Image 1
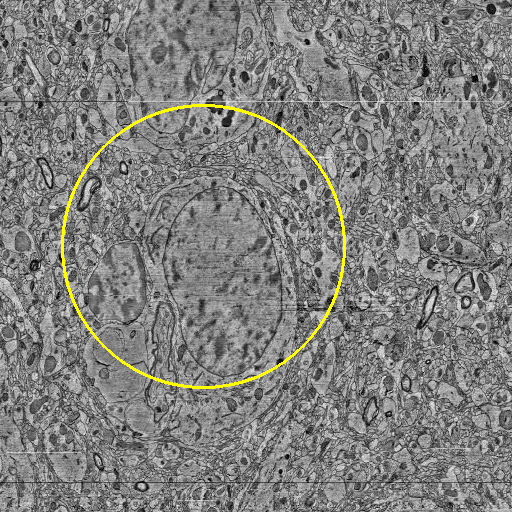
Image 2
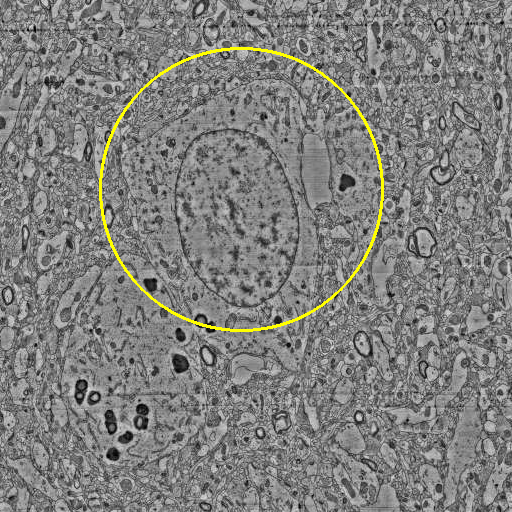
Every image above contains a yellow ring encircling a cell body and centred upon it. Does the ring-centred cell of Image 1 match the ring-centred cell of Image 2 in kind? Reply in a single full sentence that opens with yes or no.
Yes, the cell at the ring's centre in Image 1 is the same kind as that in Image 2.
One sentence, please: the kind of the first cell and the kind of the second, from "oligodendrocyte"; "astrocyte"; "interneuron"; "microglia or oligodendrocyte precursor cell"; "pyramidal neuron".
Each of the ringed cells, first and second, is a pyramidal neuron.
